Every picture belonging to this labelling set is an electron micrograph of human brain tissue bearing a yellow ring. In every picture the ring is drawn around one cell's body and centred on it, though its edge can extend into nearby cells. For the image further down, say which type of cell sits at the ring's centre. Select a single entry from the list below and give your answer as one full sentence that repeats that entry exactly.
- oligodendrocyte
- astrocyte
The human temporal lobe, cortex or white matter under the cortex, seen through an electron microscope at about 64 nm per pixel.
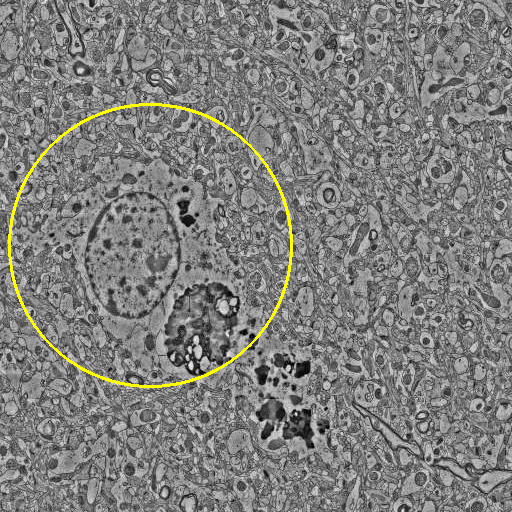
In the picture, an astrocyte is the cell at the centre of the yellow ring.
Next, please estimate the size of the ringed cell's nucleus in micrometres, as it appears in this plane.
Approximately 8 by 6 micrometers in this plane.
